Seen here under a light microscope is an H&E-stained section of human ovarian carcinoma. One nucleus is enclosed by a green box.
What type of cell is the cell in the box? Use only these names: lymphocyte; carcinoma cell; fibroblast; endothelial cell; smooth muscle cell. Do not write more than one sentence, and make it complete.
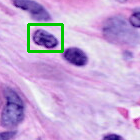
By cell type, the cell in the box is a lymphocyte.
